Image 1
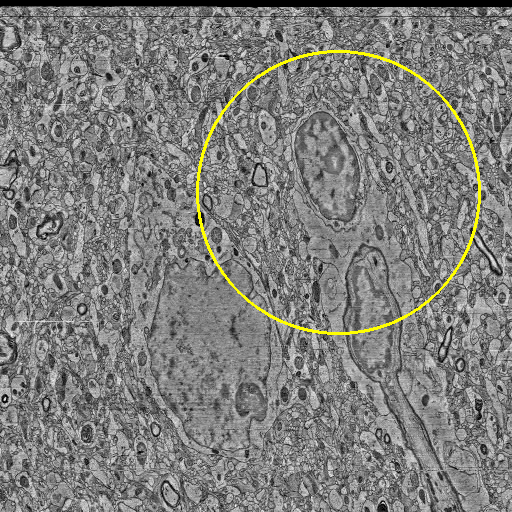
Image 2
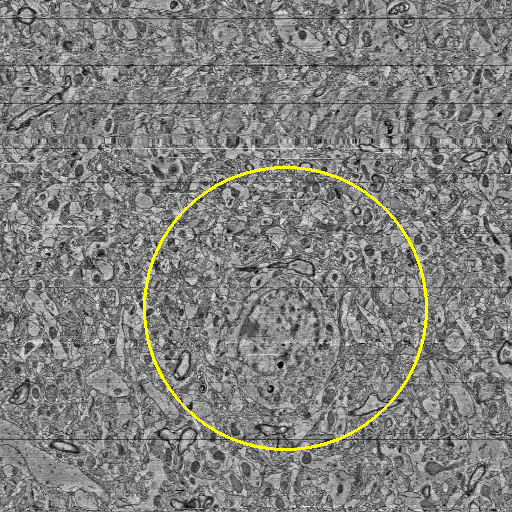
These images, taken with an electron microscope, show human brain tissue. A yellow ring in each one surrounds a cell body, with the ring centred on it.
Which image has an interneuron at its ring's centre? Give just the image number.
2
